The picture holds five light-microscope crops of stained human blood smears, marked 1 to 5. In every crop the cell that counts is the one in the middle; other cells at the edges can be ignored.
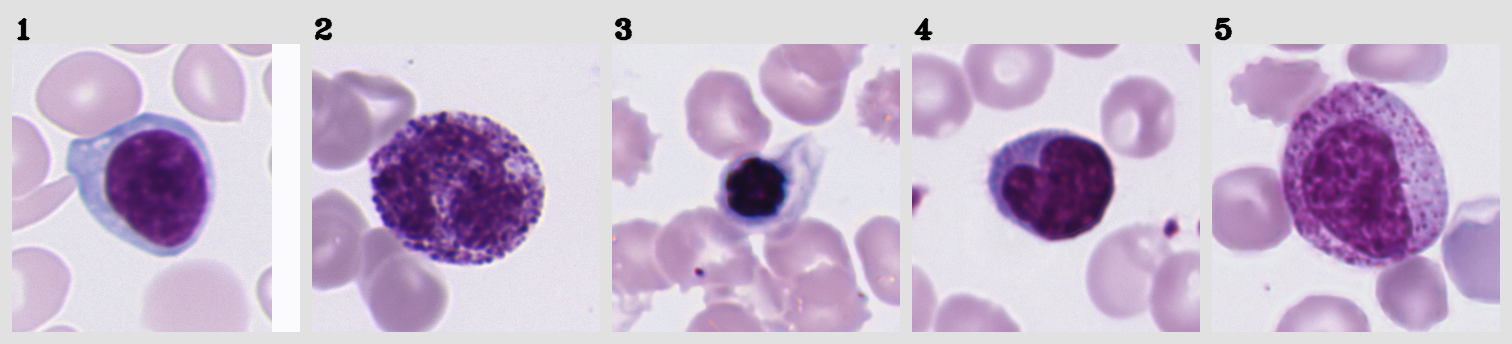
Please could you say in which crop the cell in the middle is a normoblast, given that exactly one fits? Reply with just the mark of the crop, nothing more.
3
